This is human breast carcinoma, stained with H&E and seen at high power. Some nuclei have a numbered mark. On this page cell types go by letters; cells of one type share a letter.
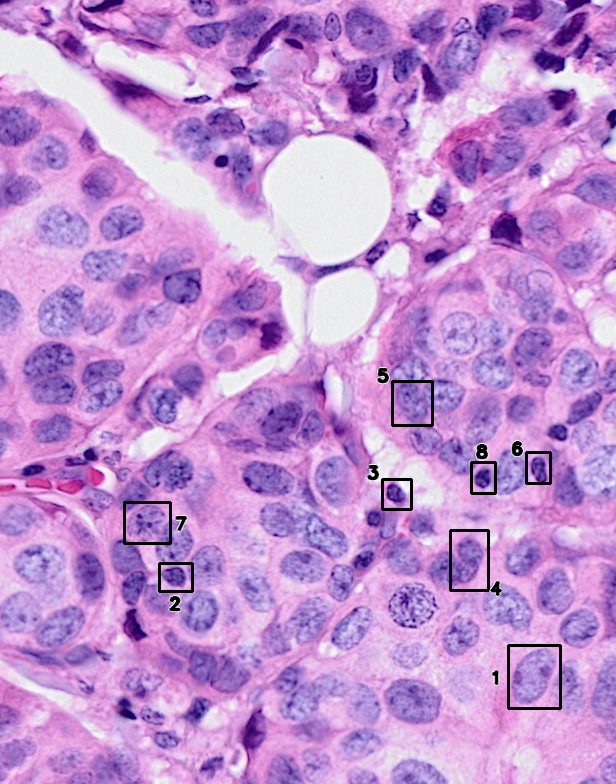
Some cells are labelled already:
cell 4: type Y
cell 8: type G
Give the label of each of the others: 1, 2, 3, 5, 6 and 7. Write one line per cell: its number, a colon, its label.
1: type Y
2: type G
3: type G
5: type Y
6: type G
7: type Y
